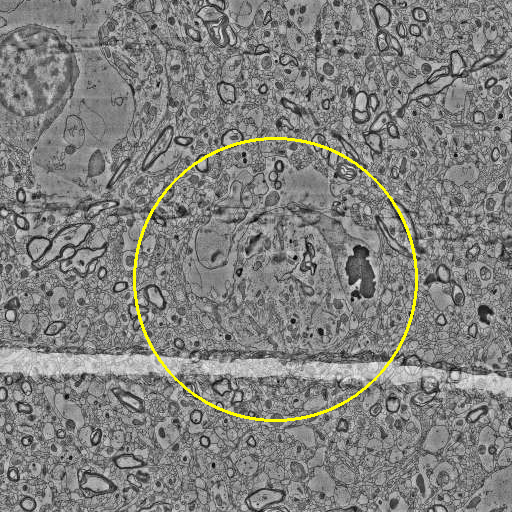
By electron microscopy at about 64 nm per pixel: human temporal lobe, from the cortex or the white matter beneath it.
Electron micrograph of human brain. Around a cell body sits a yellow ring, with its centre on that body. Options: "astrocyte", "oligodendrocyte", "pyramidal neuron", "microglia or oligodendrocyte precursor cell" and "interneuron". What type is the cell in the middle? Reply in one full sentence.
The cell sitting at the centre of the yellow ring is an interneuron.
